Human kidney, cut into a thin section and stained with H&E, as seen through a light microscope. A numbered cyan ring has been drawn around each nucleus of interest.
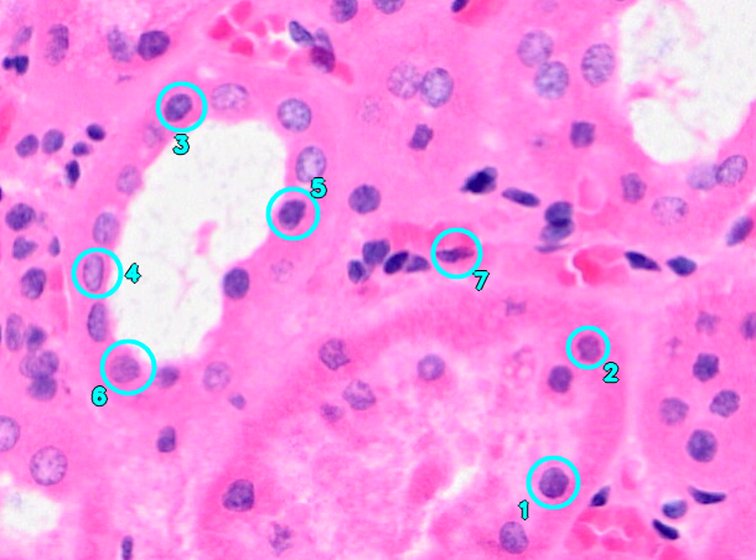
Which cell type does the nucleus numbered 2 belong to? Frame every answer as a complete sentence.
Cell 2 in the field of view is a proximal tubule cell.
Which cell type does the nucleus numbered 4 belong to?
The label 4 in this section denotes a loop of Henle or distal tubule cell.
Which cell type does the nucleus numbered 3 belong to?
Classified as a loop of Henle or distal tubule cell is the cell with the number 3.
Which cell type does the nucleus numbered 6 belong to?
The expected answer is that cell 6 is a loop of Henle or distal tubule cell.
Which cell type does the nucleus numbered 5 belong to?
Number 5 is placed on a loop of Henle or distal tubule cell here.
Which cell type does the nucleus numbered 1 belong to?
Cell 1 in the field of view is a proximal tubule cell.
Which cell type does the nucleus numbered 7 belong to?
The cell numbered 7 has been identified as an endothelial cell.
